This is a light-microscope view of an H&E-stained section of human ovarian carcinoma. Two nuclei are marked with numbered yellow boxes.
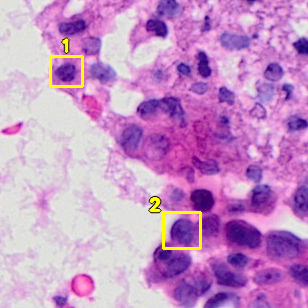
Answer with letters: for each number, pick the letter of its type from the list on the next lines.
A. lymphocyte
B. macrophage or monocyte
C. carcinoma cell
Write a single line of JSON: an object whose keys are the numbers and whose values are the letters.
{"1": "B", "2": "C"}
